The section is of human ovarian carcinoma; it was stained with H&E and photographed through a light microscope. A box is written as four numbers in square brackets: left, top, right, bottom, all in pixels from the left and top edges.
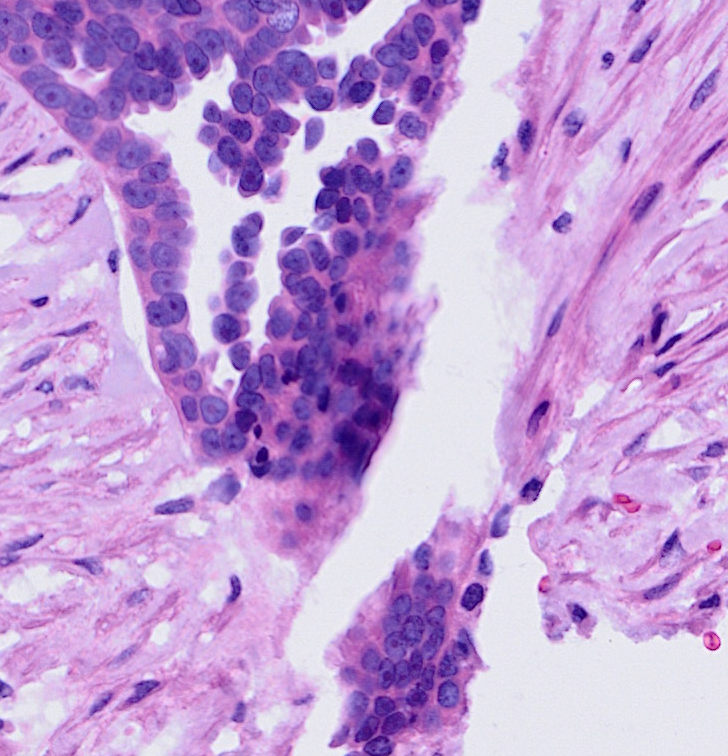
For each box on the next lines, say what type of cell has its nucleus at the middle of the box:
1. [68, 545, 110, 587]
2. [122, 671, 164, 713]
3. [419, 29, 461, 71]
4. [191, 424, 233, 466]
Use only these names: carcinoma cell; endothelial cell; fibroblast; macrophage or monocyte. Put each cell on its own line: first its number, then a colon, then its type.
1: fibroblast
2: fibroblast
3: carcinoma cell
4: carcinoma cell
